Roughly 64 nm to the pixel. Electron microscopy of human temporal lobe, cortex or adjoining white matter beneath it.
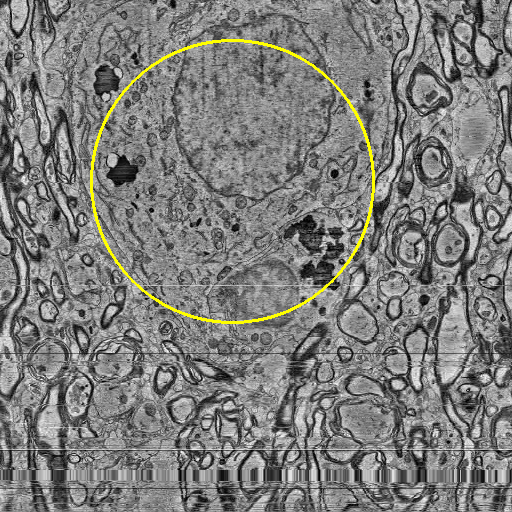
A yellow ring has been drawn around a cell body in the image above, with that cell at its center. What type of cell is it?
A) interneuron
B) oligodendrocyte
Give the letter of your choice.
A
